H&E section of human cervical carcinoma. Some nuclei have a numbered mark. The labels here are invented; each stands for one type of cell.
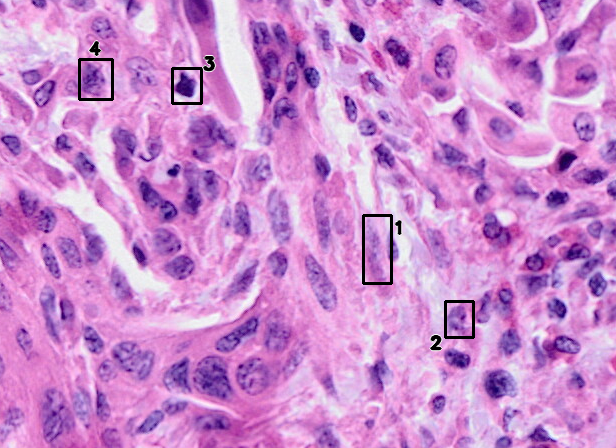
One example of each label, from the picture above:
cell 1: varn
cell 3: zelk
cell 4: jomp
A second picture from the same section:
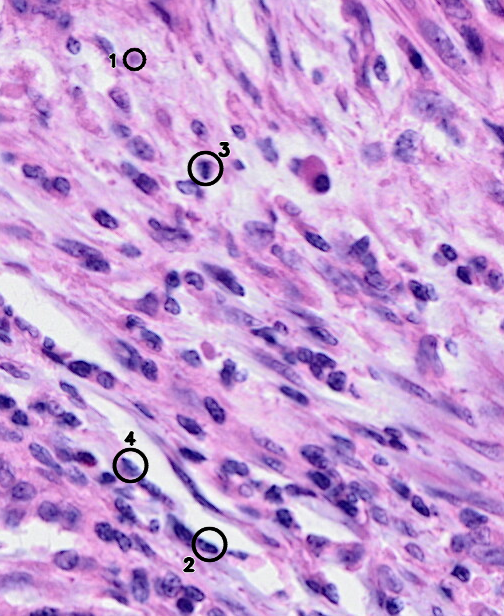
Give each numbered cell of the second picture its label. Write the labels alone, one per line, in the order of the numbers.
varn
zelk
zelk
zelk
